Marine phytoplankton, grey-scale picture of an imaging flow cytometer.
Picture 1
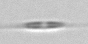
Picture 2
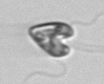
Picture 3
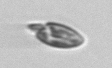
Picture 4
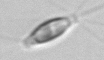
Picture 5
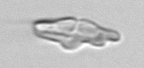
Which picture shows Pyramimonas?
Picture 2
